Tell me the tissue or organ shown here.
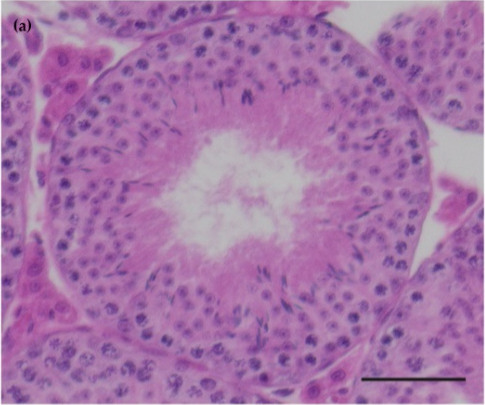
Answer: seminiferous tubule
